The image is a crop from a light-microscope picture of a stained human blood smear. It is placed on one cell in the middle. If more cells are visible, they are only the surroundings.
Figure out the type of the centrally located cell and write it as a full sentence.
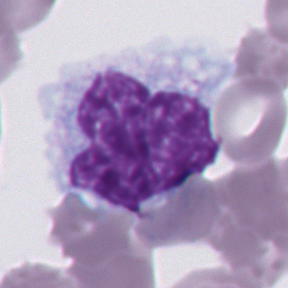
Answering briefly, the cell in the middle is a monocyte.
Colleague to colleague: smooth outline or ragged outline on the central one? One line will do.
The cell is outlined unevenly, the border being ragged or extended into projections.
